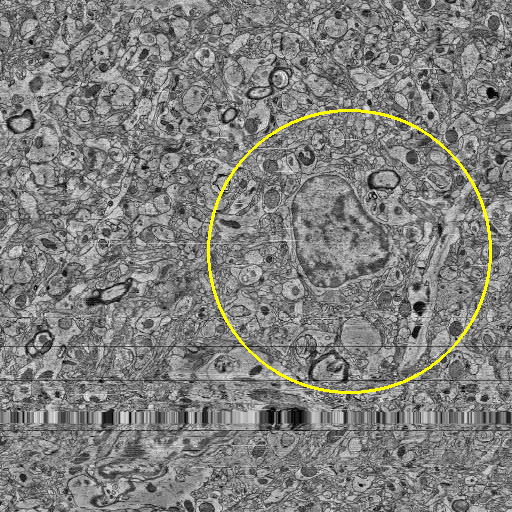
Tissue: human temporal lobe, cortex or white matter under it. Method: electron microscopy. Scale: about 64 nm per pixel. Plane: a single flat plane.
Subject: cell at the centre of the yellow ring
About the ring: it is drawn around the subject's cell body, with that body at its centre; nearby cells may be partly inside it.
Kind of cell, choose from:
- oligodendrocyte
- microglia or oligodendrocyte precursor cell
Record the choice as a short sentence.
The subject cell is a microglial cell or oligodendrocyte precursor cell.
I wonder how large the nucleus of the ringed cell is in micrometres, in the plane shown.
Roughly 7 micrometres by 6 micrometres, in this plane.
